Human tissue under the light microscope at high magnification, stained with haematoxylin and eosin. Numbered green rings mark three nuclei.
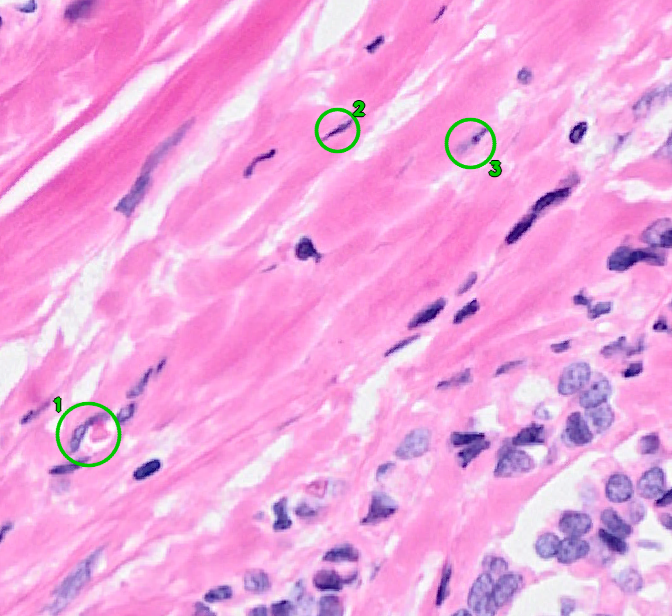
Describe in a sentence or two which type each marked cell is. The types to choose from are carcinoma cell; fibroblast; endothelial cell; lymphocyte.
Cell 1 is an endothelial cell, cell 2 is a fibroblast and cell 3 is a fibroblast.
